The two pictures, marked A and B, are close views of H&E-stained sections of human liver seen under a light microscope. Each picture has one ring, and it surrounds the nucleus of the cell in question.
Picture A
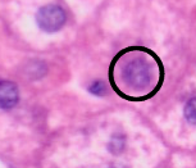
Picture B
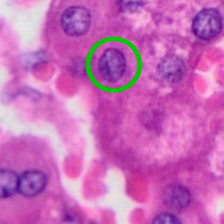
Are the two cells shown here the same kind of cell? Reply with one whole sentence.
Yes, they are the same type: both are hepatocytes.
